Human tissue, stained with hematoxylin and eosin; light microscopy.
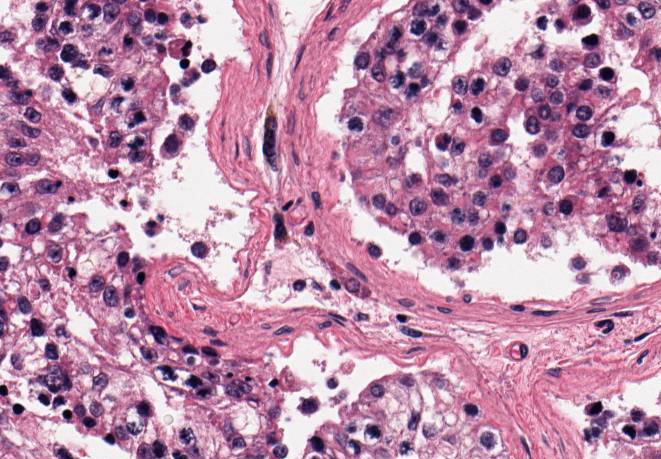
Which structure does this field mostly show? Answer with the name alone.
seminiferous tubule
